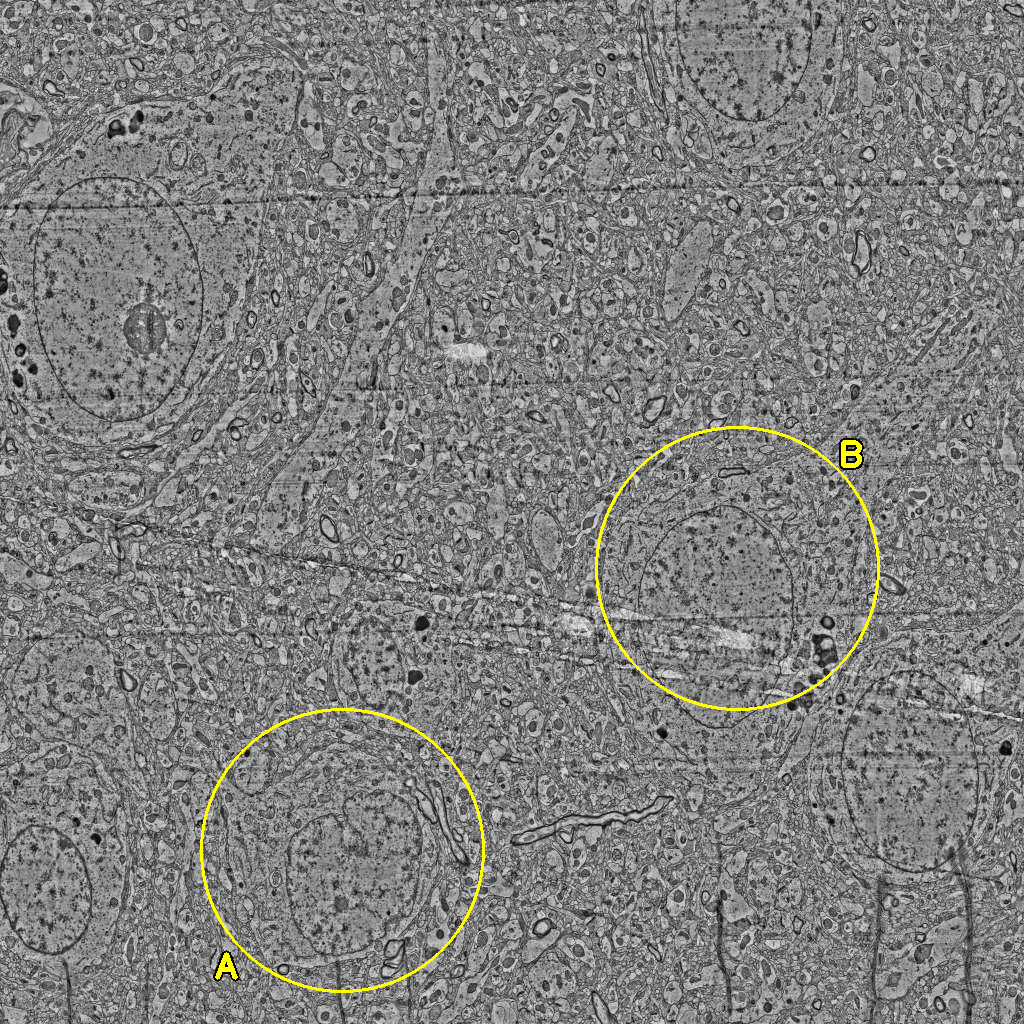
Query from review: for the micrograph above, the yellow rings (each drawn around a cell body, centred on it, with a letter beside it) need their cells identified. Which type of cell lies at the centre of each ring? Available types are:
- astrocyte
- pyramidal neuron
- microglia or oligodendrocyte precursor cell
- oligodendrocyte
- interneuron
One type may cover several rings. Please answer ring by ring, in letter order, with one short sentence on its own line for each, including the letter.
Ring A is drawn around an interneuron.
Ring B is drawn around a pyramidal neuron.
